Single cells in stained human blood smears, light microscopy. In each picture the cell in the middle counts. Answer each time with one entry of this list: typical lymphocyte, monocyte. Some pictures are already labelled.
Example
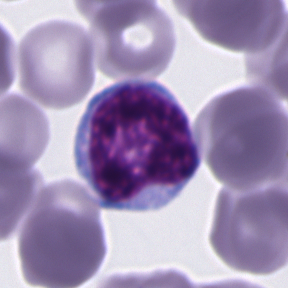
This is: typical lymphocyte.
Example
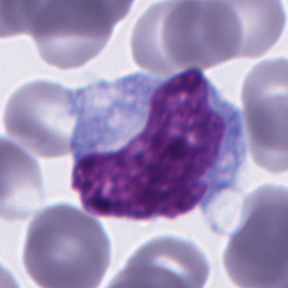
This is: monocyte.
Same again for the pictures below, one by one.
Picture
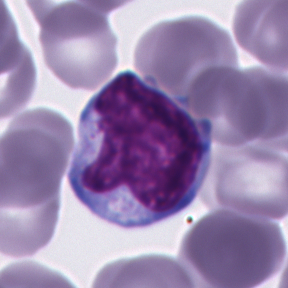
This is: typical lymphocyte.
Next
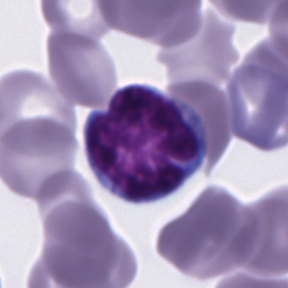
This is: typical lymphocyte.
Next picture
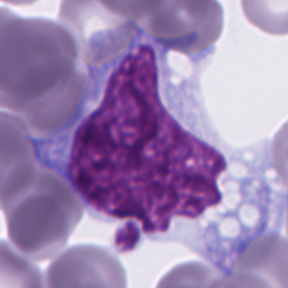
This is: monocyte.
